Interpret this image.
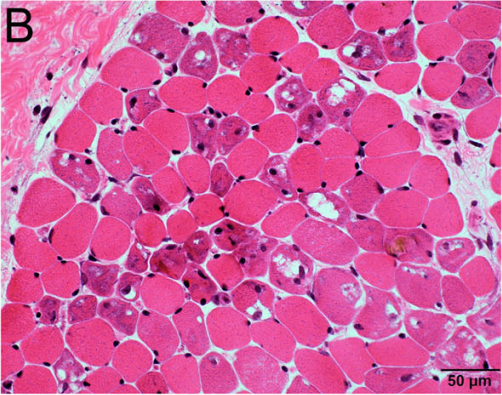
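This is skeletal muscle in cross-section, showing polygonal muscle fibers with small dark nuclei at their edges. Many fibers look normal with evenly pink cytoplasm, but a large number have a purplish, basophilic tint. These altered fibers contain clear holes or vacuoles of varying size, sometimes several per fiber. A few fibers show a brownish granular deposit. Thin strands of pale connective tissue run between the fibers, with denser pink collagen at the upper left edge.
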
